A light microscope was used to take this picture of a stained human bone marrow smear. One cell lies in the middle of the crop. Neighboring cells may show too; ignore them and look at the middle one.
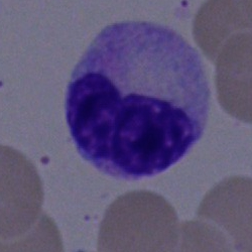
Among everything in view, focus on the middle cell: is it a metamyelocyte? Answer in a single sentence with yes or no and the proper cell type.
Yes, the cell found in the center of the crop is a metamyelocyte.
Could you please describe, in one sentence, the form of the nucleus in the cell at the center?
Two or more lobes make up the nucleus of this cell.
